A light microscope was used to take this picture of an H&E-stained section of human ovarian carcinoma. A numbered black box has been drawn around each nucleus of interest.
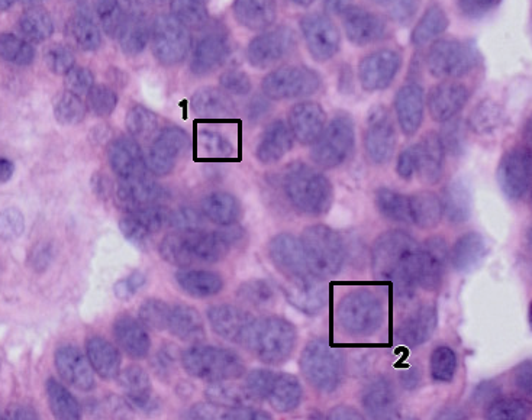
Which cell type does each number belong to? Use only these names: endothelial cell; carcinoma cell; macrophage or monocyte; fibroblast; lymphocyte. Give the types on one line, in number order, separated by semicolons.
macrophage or monocyte; carcinoma cell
